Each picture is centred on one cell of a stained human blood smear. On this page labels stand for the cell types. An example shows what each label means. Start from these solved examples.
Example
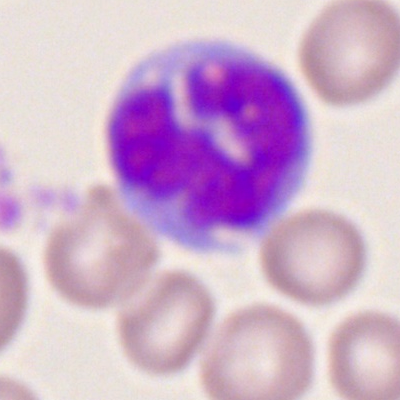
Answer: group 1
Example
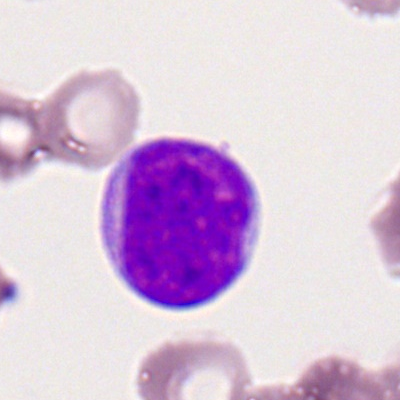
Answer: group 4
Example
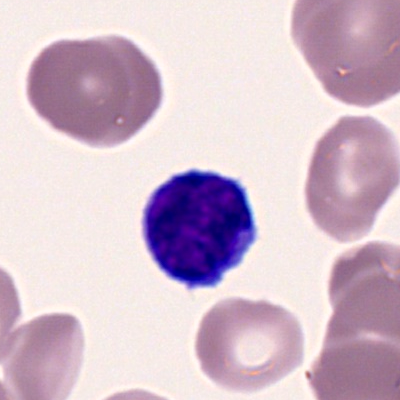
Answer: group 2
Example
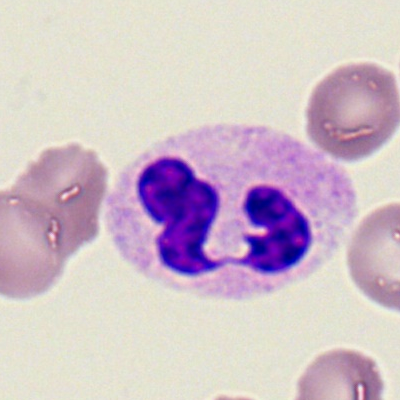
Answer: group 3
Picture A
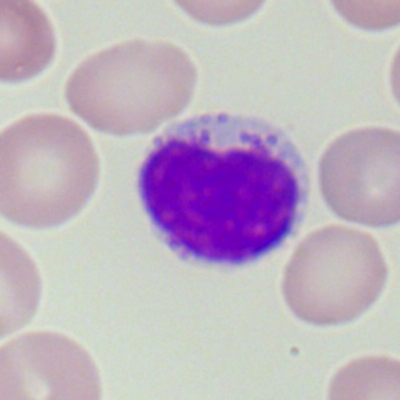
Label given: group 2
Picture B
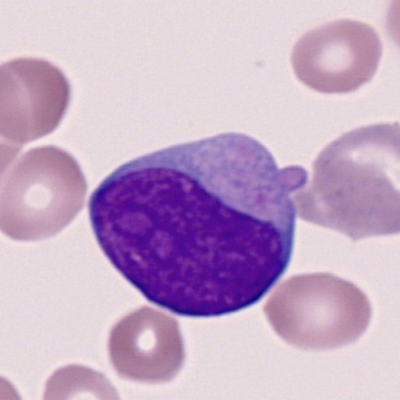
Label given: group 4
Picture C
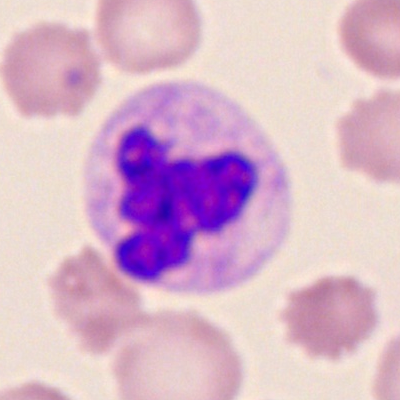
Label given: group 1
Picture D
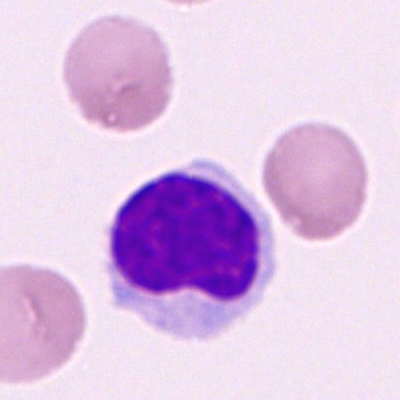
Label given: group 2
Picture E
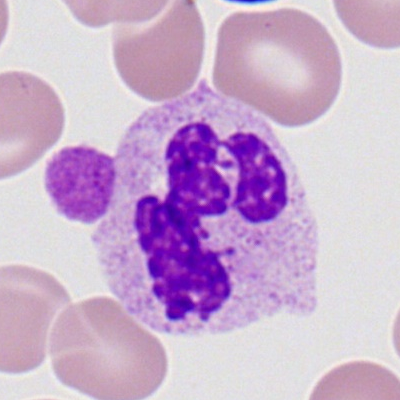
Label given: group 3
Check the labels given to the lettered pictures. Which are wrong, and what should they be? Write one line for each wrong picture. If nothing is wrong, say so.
Wrong: C (group 1); correct: group 3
